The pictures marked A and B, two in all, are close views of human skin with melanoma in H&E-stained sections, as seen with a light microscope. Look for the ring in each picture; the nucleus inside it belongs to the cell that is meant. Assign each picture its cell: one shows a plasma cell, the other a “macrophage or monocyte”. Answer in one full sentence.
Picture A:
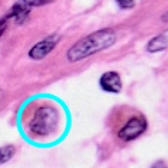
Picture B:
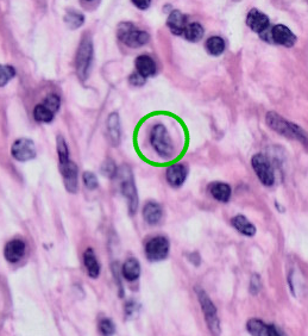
Picture A is of a “macrophage or monocyte”, and picture B is of a plasma cell.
